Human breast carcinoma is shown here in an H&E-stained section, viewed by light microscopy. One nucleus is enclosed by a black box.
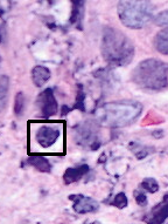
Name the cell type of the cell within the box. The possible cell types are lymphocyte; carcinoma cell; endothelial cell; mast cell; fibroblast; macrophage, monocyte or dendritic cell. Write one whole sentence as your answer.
As a matter of cell type, the cell within the box is a lymphocyte.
